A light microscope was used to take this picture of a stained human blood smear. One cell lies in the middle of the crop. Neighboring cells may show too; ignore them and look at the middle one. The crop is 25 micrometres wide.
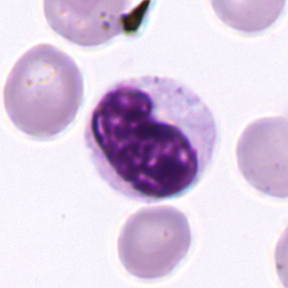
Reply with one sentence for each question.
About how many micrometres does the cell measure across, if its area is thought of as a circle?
Taken as a circle, the cell has a diameter of about 11 micrometres.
